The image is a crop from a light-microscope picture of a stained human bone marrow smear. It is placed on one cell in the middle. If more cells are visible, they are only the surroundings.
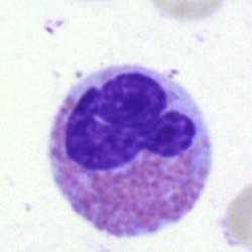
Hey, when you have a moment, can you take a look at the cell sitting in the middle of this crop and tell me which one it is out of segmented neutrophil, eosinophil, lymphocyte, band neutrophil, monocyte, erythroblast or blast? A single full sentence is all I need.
In this crop, the cell at the very middle is an eosinophil.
